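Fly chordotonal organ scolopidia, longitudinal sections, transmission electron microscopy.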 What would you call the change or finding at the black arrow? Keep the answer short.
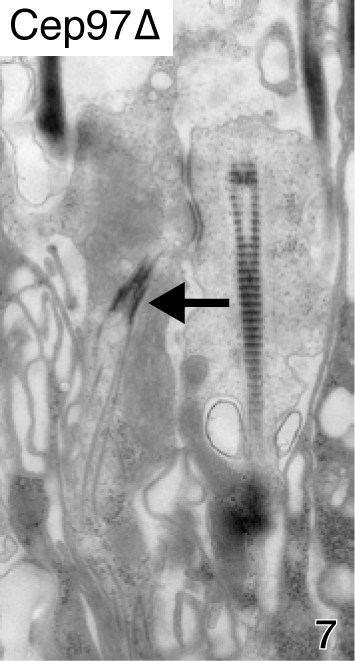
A: Mispositioned basal bodies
